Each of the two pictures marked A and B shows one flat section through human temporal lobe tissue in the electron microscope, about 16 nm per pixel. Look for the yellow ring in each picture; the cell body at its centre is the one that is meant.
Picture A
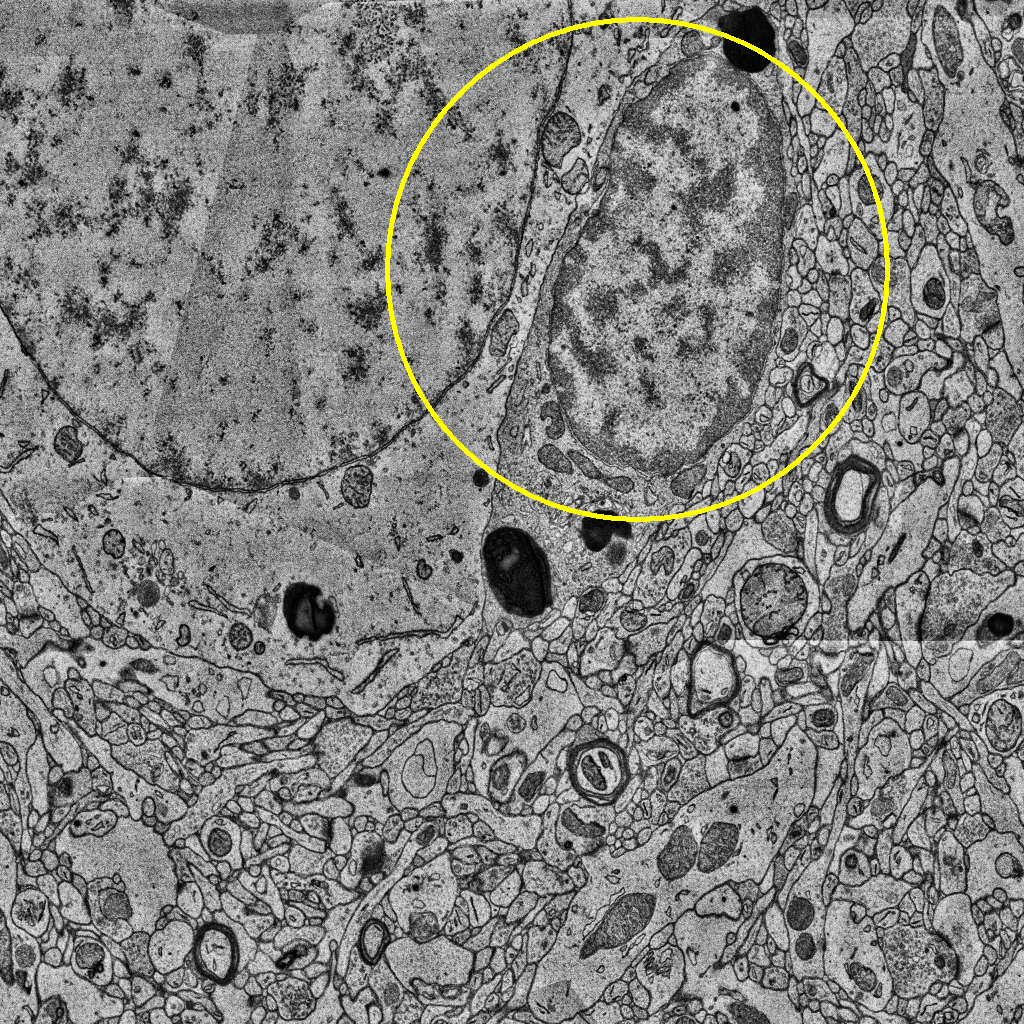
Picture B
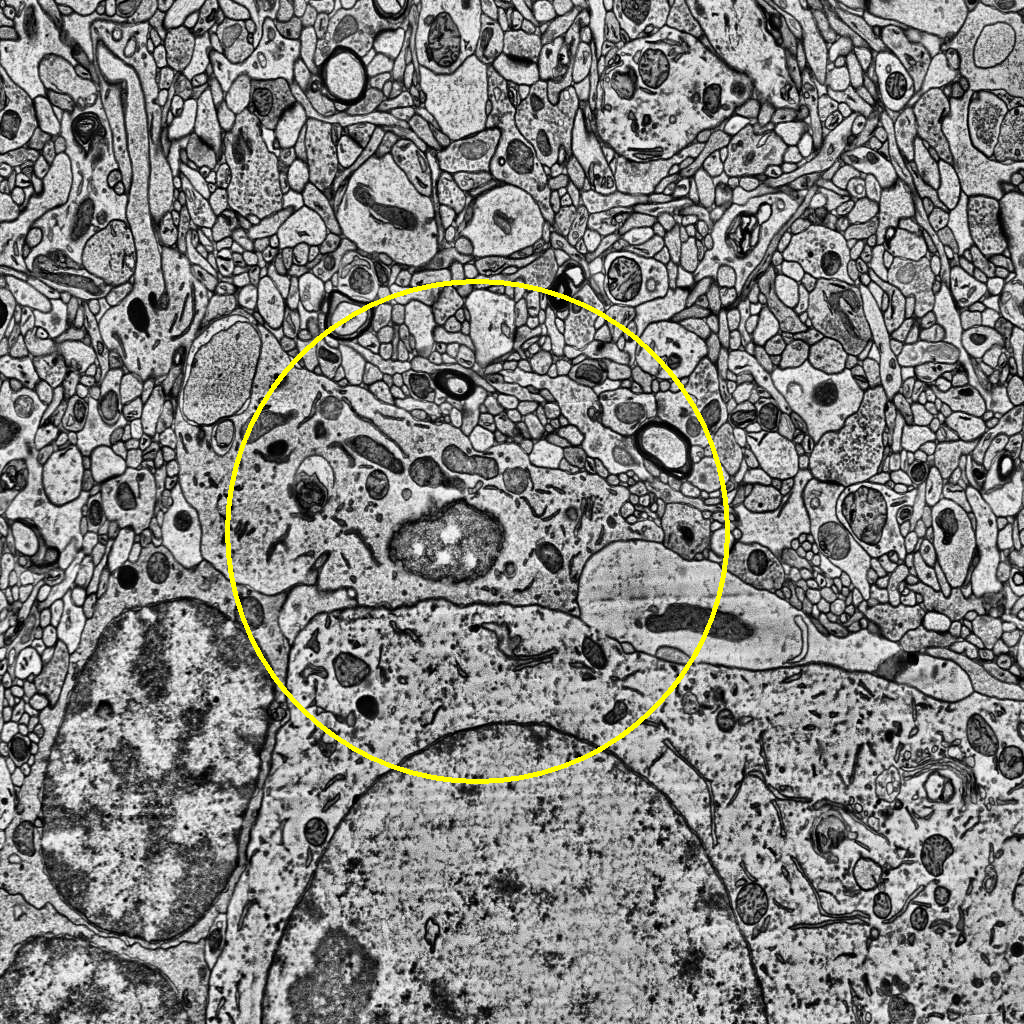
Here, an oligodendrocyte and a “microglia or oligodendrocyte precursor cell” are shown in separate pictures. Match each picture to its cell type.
Picture B shows a “microglia or oligodendrocyte precursor cell”, while picture A shows an oligodendrocyte.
